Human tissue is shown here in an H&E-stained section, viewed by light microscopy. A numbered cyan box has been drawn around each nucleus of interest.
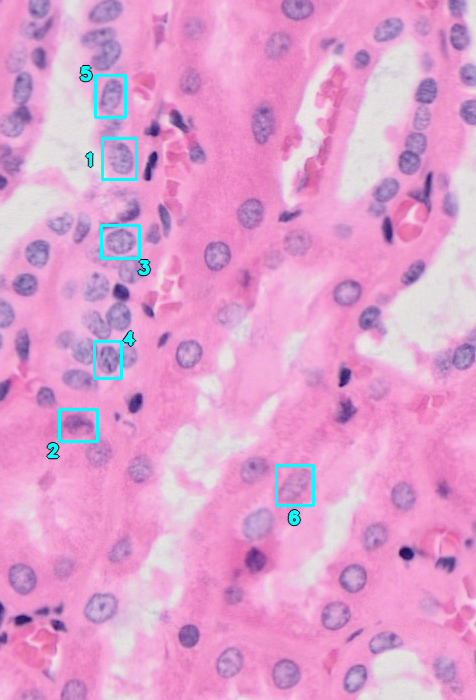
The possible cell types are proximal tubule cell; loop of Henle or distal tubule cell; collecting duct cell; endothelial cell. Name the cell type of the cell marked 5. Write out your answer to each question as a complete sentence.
The mark numbered 5 indicates the nucleus of a collecting duct cell.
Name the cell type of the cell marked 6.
That cell with number 6 is a proximal tubule cell.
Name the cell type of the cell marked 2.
The cell indicated with the number 2 is classed as a proximal tubule cell.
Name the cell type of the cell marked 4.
Belonging to a collecting duct cell is the nucleus that carries the number 4.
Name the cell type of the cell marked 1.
The correct answer for cell 1 is a collecting duct cell.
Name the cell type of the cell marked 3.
In this section, number 3 marks a collecting duct cell.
